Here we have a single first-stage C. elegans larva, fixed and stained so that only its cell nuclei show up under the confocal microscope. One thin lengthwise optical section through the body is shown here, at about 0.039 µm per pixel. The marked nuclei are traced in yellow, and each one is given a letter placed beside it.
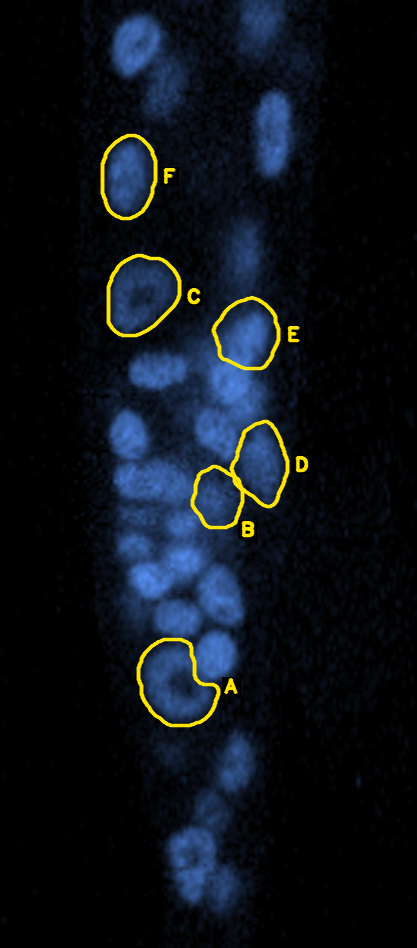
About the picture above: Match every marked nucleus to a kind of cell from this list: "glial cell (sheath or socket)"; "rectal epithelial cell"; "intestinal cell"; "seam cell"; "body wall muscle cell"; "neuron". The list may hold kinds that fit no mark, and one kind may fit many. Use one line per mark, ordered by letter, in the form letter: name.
A: seam cell
B: neuron
C: intestinal cell
D: rectal epithelial cell
E: neuron
F: body wall muscle cell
